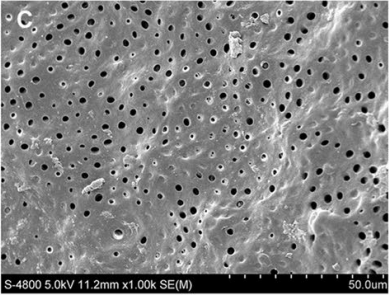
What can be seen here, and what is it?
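The orifices are round, dark, and fairly evenly scattered over a smooth, gently undulating intertubular surface. Some orifices show a lighter rim around the lumen. Only small scattered particles of debris remain on the surface.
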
